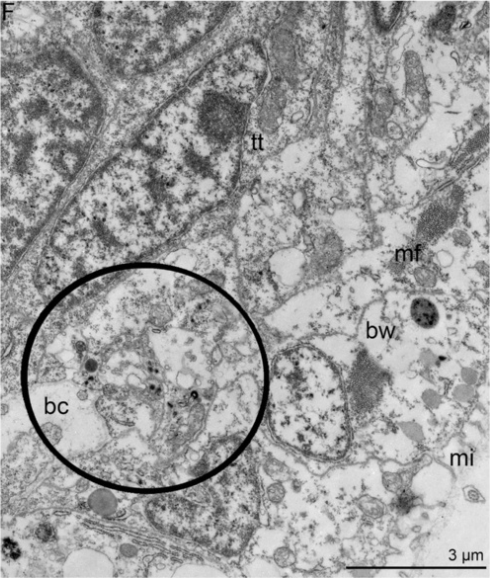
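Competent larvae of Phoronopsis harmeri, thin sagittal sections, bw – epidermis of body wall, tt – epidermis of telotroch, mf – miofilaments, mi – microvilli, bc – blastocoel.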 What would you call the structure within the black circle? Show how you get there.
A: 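The circle encloses a cluster of small membrane-bound profiles. Some profiles inside the circle contain small dark vesicles. The cluster lies between two epithelial cell layers. That points to this answer: Neurite bundle.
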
